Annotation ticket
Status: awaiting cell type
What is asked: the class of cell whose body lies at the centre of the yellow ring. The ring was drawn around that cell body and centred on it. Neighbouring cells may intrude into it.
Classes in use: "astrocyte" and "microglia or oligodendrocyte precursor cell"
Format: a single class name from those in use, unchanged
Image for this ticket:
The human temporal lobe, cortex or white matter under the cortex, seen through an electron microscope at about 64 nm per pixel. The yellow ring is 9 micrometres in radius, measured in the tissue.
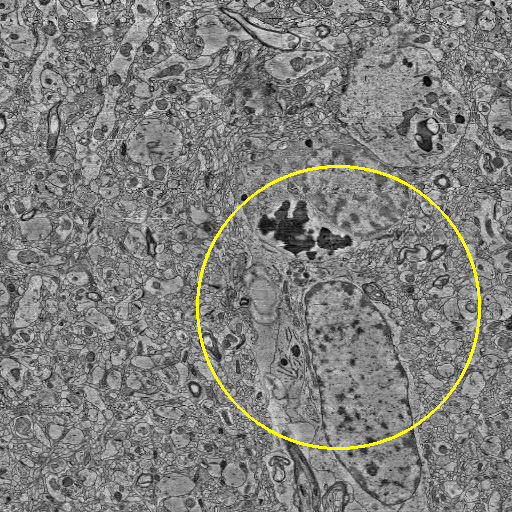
microglia or oligodendrocyte precursor cell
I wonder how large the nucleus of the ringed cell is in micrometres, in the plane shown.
The nucleus is approximately 15 micrometers long by 6 micrometers wide in this plane.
